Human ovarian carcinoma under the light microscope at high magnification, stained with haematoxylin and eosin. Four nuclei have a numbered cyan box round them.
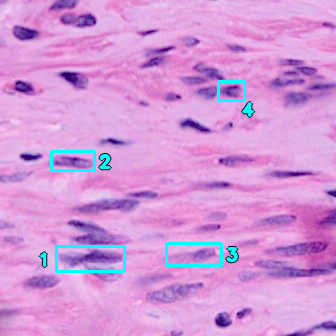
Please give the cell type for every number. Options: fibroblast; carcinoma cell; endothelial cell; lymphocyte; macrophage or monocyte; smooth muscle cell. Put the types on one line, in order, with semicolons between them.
fibroblast; smooth muscle cell; smooth muscle cell; smooth muscle cell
